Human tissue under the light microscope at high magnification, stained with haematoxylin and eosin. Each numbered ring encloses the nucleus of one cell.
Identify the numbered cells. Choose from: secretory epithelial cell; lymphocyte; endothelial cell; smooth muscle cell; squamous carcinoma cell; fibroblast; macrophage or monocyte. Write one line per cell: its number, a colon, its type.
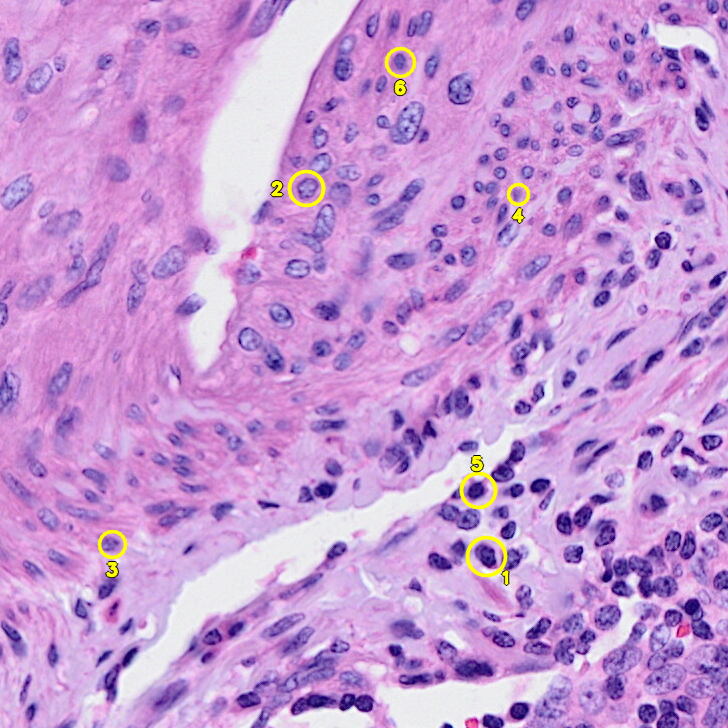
1: lymphocyte
2: smooth muscle cell
3: smooth muscle cell
4: smooth muscle cell
5: lymphocyte
6: smooth muscle cell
